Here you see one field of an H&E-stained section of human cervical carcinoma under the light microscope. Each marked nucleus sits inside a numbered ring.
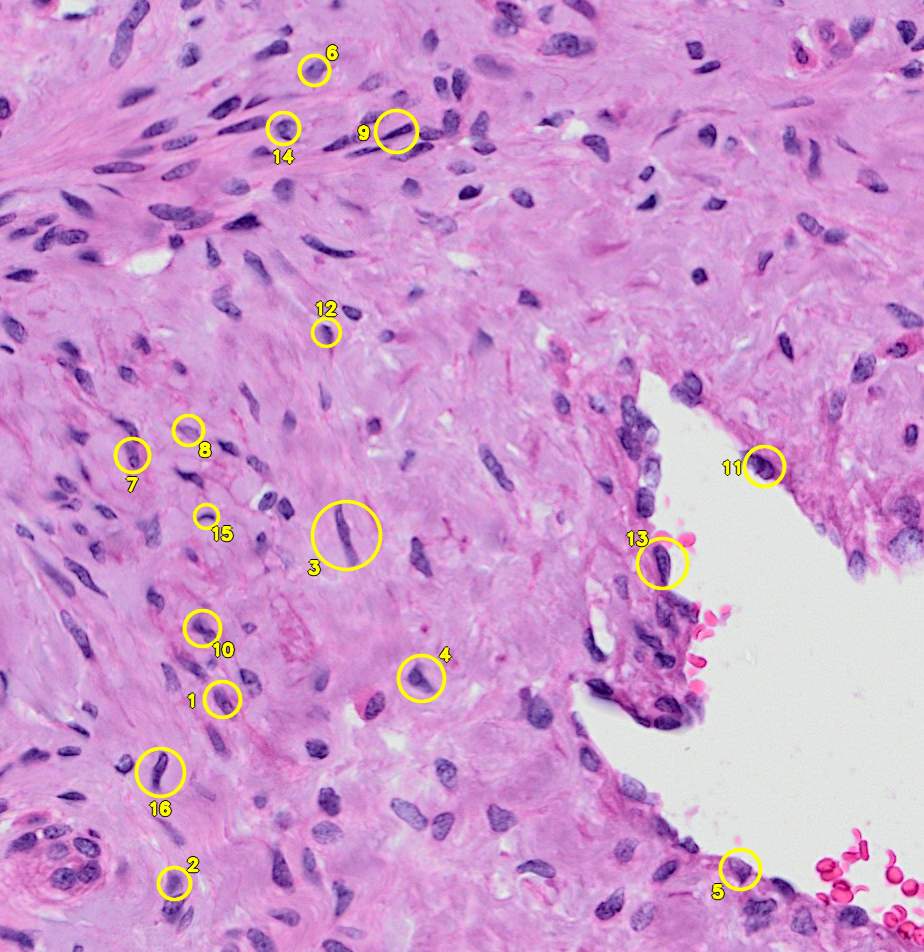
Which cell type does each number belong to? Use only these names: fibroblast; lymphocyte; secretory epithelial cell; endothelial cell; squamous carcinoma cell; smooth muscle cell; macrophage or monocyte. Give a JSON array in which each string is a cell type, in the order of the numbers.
["smooth muscle cell", "fibroblast", "fibroblast", "fibroblast", "endothelial cell", "fibroblast", "smooth muscle cell", "smooth muscle cell", "fibroblast", "smooth muscle cell", "endothelial cell", "fibroblast", "endothelial cell", "fibroblast", "fibroblast", "fibroblast"]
